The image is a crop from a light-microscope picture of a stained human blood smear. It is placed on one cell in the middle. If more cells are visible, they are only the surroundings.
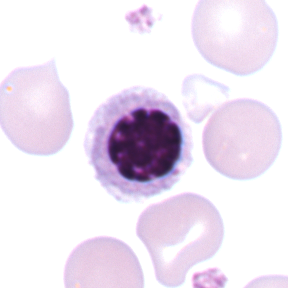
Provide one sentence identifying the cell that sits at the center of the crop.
The central cell in this smear crop is a normoblast.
